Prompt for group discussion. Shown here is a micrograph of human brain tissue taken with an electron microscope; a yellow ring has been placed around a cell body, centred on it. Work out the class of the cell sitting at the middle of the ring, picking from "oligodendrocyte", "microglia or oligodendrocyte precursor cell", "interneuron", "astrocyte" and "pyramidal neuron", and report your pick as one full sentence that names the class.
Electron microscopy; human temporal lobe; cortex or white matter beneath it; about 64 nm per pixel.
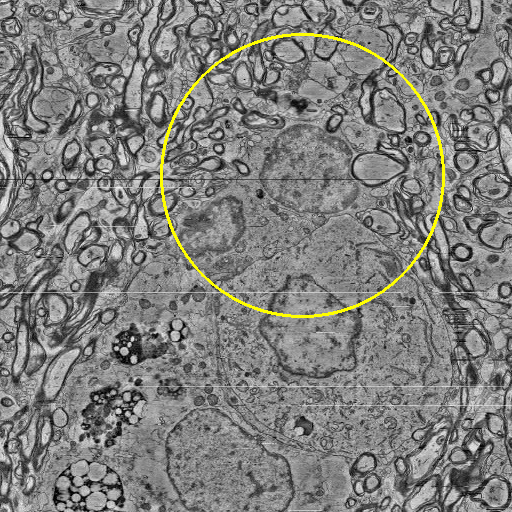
The cell sitting at the middle of the yellow ring is an oligodendrocyte.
